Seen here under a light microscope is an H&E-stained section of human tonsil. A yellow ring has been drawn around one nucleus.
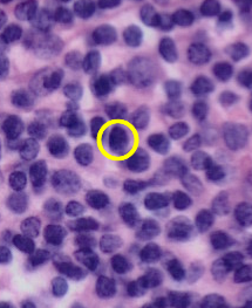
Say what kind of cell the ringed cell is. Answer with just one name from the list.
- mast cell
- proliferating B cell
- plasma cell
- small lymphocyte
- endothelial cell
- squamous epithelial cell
small lymphocyte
